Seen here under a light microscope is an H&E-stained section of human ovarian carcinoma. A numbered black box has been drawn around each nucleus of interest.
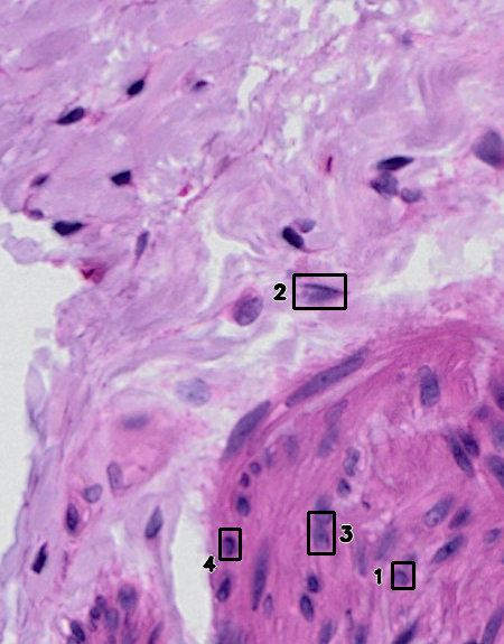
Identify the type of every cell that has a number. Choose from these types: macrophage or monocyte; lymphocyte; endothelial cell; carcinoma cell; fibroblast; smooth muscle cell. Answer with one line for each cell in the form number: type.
1: smooth muscle cell
2: fibroblast
3: smooth muscle cell
4: smooth muscle cell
